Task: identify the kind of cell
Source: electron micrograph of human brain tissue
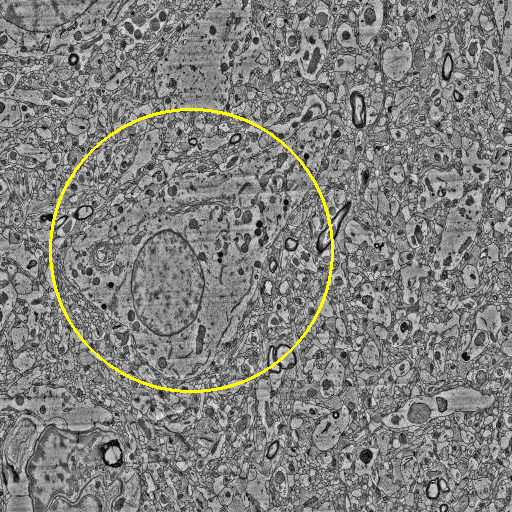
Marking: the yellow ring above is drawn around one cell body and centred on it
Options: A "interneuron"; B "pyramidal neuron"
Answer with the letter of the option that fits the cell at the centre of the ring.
B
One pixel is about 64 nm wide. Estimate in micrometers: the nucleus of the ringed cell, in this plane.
In this plane the nucleus measures roughly 7 by 5 micrometres.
